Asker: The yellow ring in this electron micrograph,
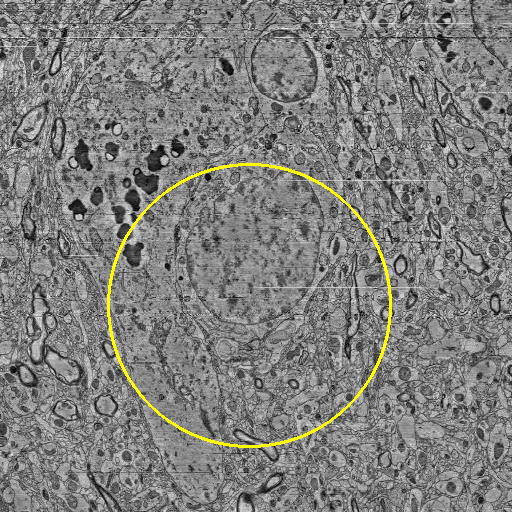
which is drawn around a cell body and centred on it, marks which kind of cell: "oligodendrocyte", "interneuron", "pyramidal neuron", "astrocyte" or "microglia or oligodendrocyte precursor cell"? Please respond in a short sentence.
The marked cell is an interneuron.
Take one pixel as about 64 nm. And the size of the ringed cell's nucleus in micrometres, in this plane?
In this plane the nucleus measures roughly 11 by 9 micrometers.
